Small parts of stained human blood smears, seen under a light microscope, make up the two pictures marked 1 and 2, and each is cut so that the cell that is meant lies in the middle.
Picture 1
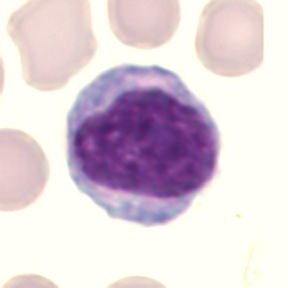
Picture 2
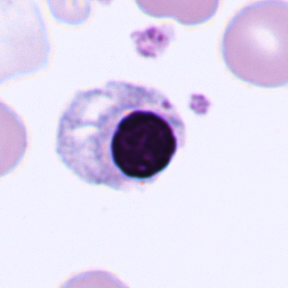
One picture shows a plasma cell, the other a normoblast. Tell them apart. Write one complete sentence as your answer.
The cell in picture 1 is a plasma cell, and the one in picture 2 is a normoblast.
